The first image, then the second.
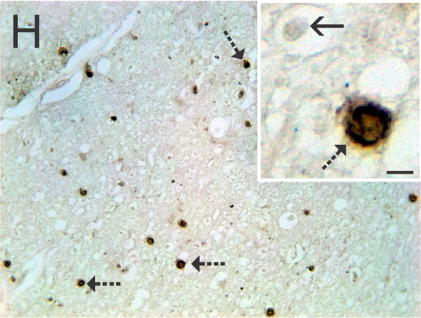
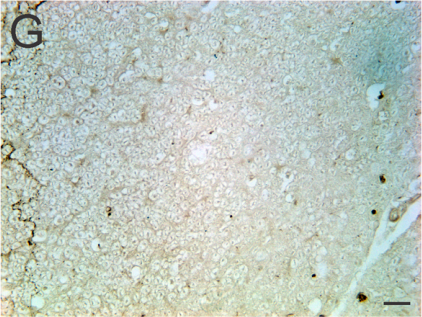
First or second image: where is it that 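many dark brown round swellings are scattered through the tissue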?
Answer: The first image.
